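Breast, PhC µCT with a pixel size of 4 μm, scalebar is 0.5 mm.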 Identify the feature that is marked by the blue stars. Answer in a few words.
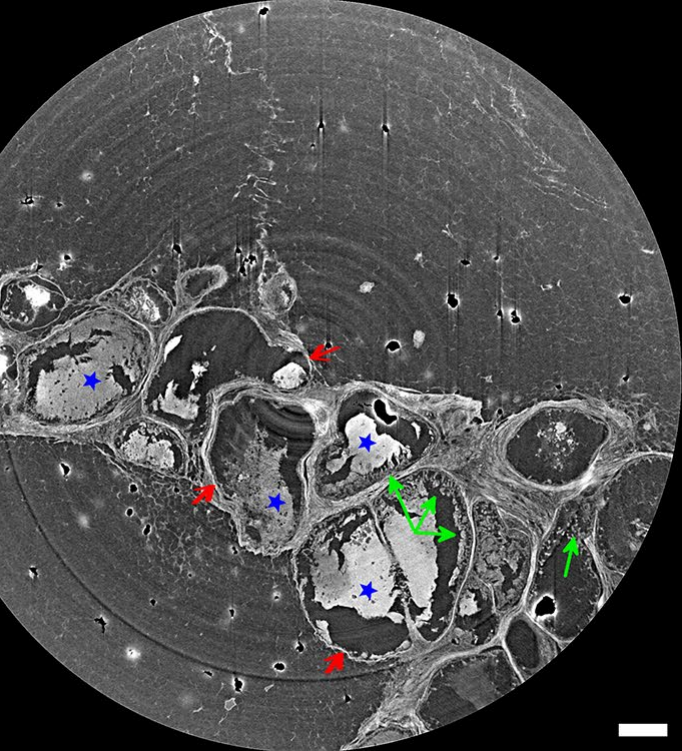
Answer: packed red blood cells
